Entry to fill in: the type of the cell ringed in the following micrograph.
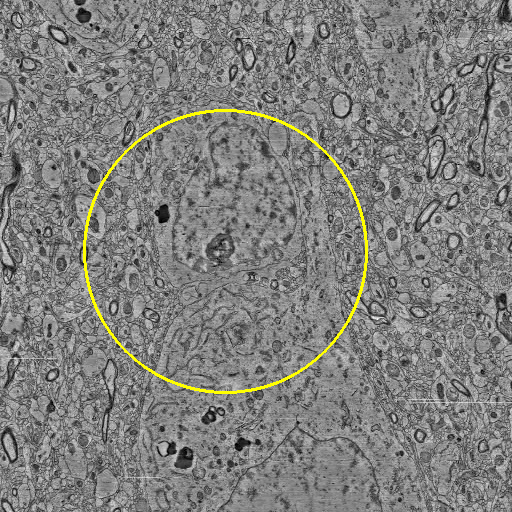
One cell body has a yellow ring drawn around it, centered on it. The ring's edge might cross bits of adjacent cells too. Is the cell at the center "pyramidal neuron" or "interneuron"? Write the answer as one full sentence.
This entry names an interneuron as the cell whose body lies at the ring's center.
